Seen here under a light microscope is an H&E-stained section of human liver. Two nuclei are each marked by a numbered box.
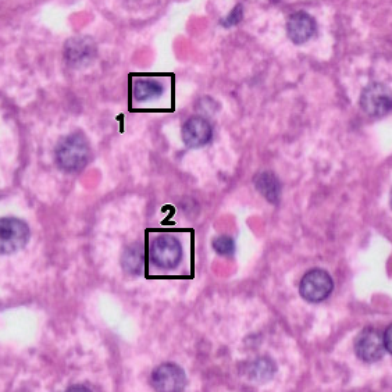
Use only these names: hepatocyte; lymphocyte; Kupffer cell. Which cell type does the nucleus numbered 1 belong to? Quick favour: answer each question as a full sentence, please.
Denoted by the label 1 in the section is a Kupffer cell.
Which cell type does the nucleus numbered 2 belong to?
The marked cell with the number 2 is recognised as a hepatocyte.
